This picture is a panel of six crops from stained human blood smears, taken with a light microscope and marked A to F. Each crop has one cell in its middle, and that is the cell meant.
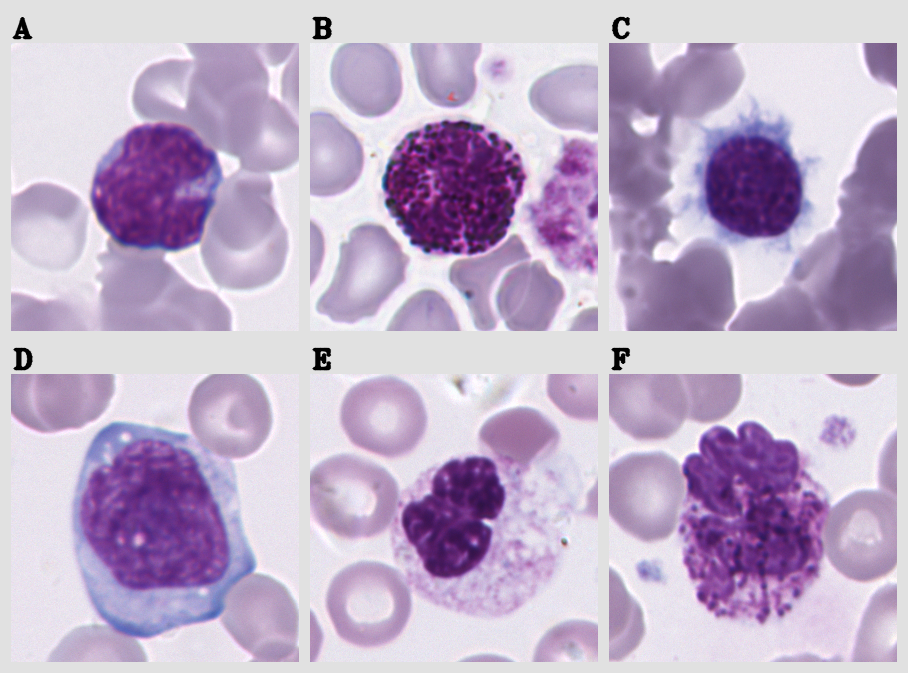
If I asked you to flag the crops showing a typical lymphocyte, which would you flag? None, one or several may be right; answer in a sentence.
Every crop except crop A lacks a typical lymphocyte.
